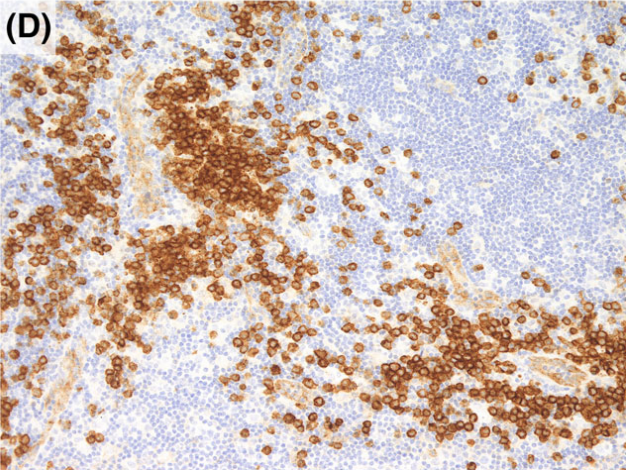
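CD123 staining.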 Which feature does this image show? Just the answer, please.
High‐endothelial venules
